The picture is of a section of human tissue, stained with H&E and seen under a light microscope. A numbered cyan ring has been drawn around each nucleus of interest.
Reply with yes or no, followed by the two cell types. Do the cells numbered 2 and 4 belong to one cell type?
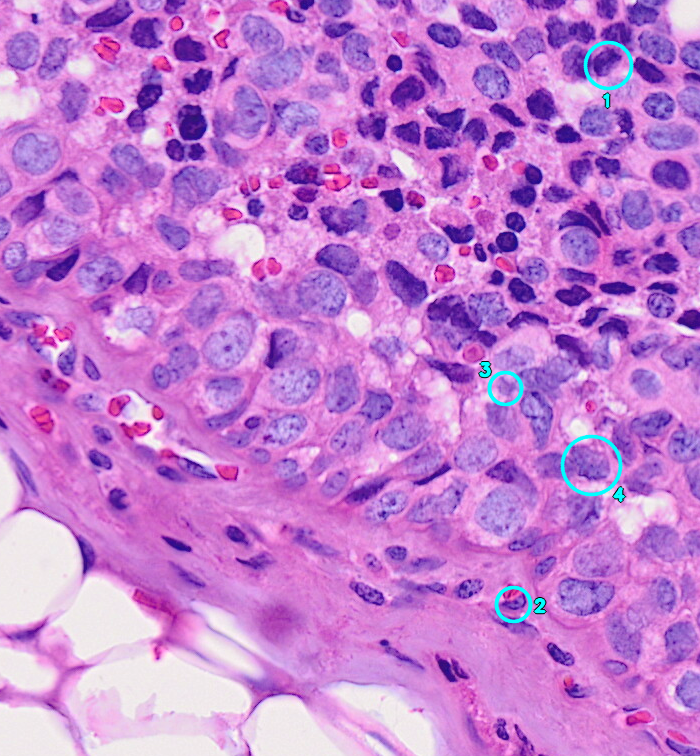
No, a carcinoma cell is what cell 4 is, while cell 2 is an endothelial cell.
